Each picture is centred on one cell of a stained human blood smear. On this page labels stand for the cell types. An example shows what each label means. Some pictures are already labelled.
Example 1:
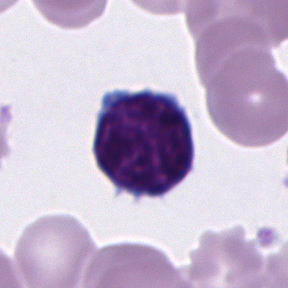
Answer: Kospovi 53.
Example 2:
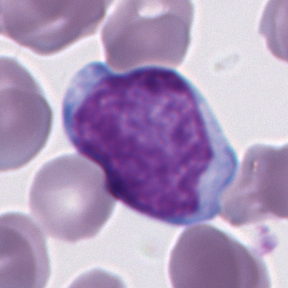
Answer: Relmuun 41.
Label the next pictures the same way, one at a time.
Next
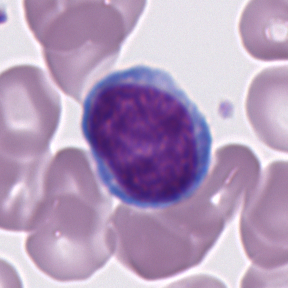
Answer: Kospovi 53.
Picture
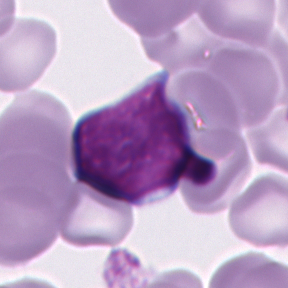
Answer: Kospovi 53.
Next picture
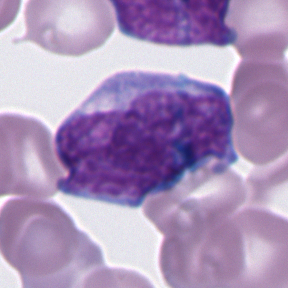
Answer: Relmuun 41.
